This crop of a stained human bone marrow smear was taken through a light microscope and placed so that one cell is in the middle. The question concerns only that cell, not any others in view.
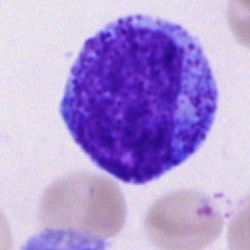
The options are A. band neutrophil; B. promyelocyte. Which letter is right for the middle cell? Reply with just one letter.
B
